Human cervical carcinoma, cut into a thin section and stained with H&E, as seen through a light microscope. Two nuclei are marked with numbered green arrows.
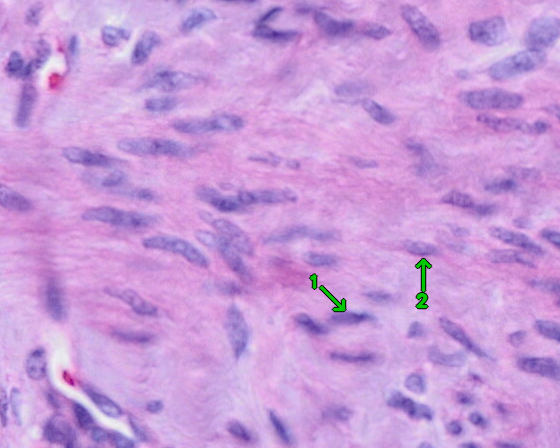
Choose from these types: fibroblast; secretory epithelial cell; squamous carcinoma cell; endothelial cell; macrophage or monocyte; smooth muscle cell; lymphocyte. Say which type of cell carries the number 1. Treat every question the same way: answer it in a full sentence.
The marked cell bearing number 1 is a fibroblast.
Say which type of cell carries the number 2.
In this section, the cell tagged 2 is a smooth muscle cell.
